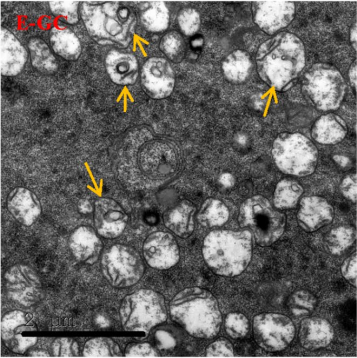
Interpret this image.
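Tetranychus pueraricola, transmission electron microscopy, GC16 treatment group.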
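Dense, finely granular cytoplasm of a mite cell is crowded with many pale, rounded vacuoles of varying size. Several vacuoles contain loose fibrillar debris, and some hold small concentric membrane whorls or dark remnants. Such vacuoles with partly digested contents are autolysosomes.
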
